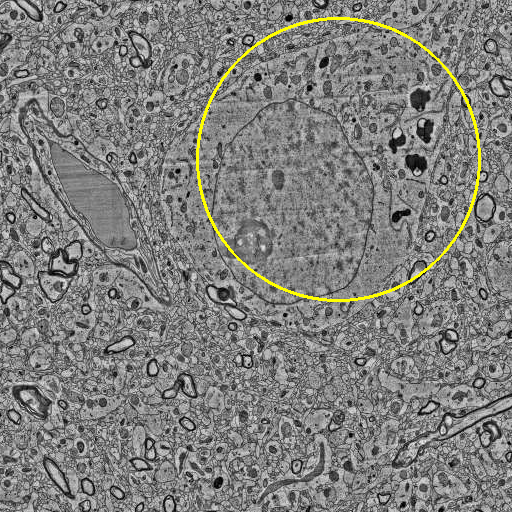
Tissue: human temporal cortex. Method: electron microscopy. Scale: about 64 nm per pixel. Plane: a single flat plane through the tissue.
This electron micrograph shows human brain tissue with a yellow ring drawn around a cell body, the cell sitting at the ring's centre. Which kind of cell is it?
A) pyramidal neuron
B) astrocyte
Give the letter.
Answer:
A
